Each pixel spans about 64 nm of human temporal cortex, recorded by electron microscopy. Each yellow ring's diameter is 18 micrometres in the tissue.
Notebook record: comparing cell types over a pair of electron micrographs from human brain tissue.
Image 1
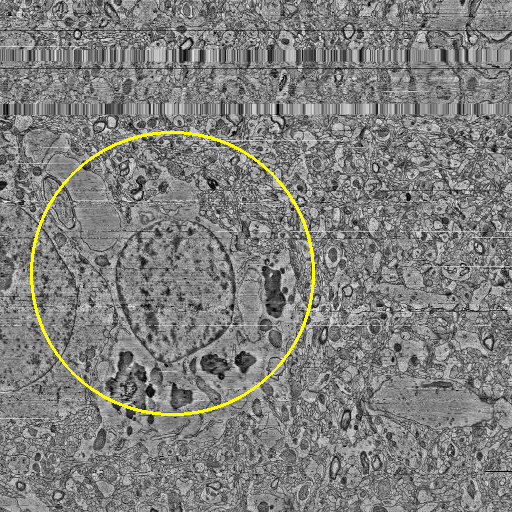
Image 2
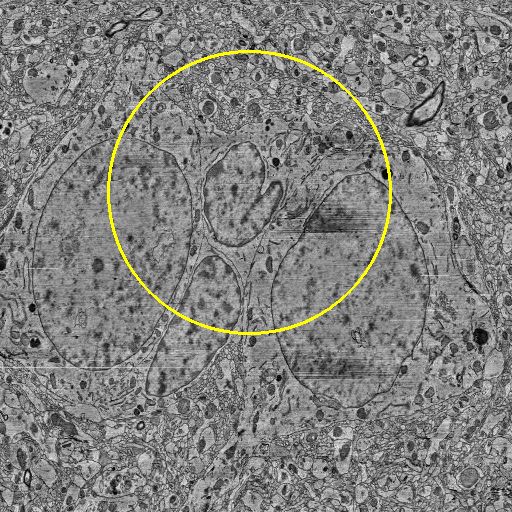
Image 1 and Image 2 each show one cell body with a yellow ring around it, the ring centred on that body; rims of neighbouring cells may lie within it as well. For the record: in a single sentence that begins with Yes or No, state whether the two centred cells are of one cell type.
No, two cell types are found among the centred cells of Image 1 and Image 2.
